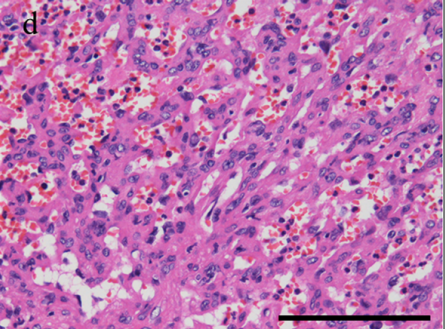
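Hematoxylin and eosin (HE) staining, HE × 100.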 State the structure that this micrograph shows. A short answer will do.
Vascular channels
